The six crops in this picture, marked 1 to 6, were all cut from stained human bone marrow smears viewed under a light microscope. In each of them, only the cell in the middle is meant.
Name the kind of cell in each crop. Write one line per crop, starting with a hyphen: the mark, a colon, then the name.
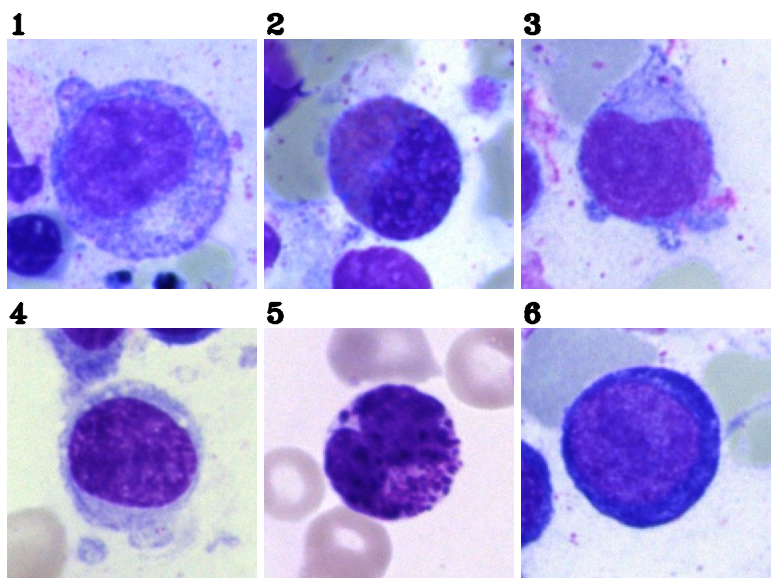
- 1: promyelocyte
- 2: eosinophil
- 3: hairy cell
- 4: hairy cell
- 5: basophil
- 6: proerythroblast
